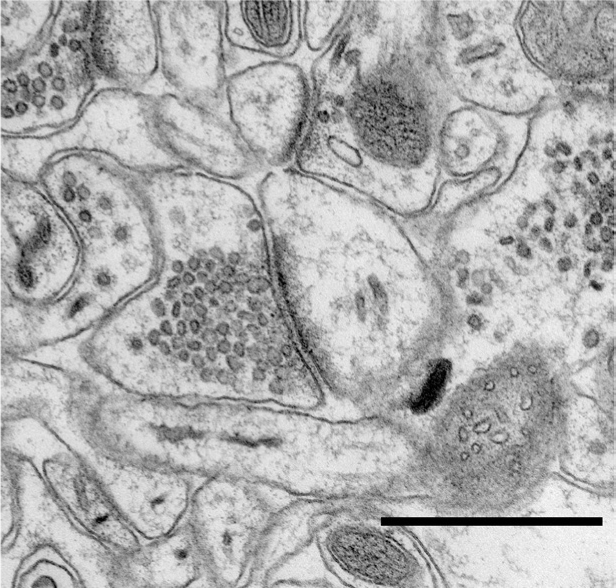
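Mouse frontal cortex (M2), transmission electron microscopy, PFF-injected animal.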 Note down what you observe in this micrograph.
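This electron micrograph shows cortical neuropil with tightly packed profiles of neuronal processes bounded by dark membranes. Left of centre an axon terminal holds a dense cluster of small round clear synaptic vesicles. Other vesicle-containing terminals appear at the upper left and right edges. A mitochondrion with dark, closely spaced cristae lies at the lower edge, and a large granular, darker profile with a few vesicles lies at the lower right. Larger, paler profiles with sparse content, likely dendritic, lie between the terminals.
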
